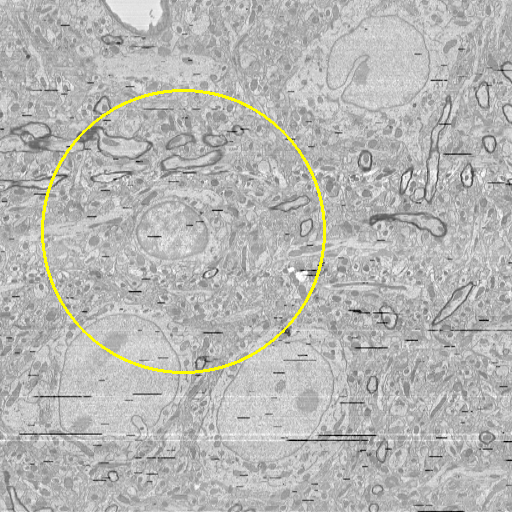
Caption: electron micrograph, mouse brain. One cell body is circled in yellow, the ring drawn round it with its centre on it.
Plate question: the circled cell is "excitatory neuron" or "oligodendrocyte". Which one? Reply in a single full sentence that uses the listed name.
The yellow ring on the plate is centred on an oligodendrocyte, going by the listed names.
